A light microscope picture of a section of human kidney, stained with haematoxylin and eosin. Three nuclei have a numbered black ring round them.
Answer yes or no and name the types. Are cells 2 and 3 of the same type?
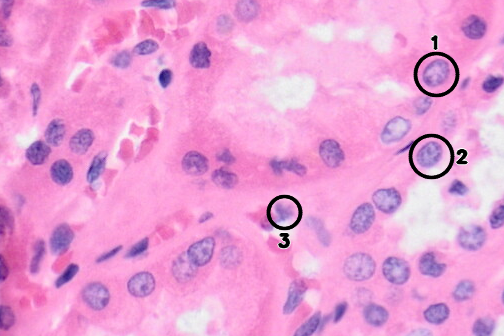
No, cell 2 is a loop of Henle or distal tubule cell and cell 3 is an endothelial cell.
